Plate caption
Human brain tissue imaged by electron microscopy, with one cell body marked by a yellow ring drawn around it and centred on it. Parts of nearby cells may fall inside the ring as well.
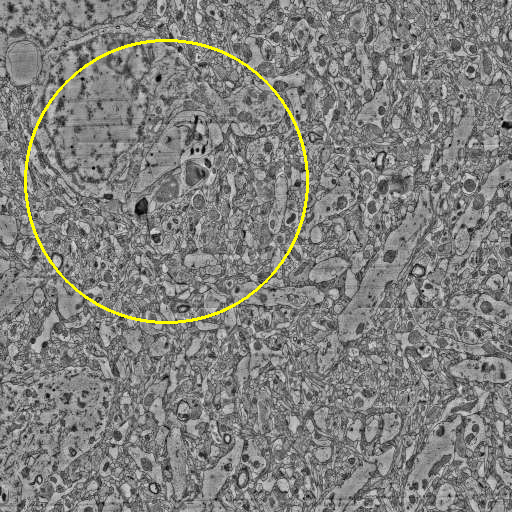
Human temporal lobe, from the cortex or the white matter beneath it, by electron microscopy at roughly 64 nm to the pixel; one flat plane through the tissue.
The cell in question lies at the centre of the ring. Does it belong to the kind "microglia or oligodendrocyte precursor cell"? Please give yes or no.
Yes, it belongs to that kind.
